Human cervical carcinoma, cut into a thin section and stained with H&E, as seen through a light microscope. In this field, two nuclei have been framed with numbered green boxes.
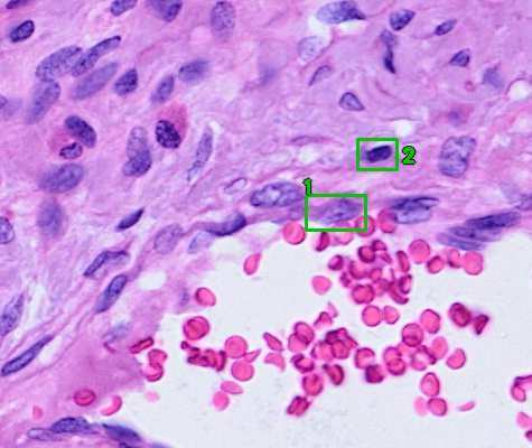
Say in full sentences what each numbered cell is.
Cell 1 is an endothelial cell. Cell 2 is a lymphocyte.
